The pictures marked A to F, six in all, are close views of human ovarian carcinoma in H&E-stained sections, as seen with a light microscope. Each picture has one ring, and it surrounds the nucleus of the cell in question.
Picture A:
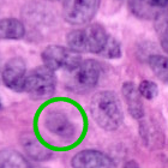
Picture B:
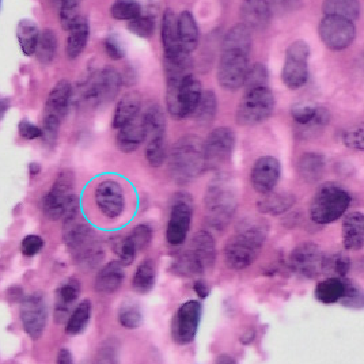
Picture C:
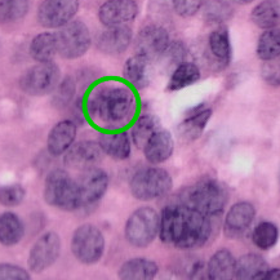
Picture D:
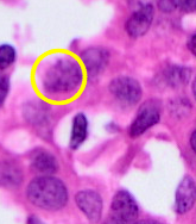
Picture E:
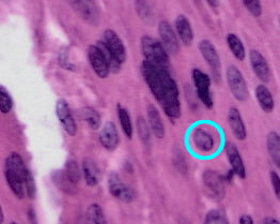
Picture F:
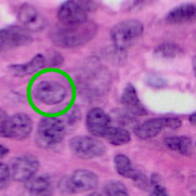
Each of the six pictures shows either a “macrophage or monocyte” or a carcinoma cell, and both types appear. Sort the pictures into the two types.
A: carcinoma cell
B: macrophage or monocyte
C: carcinoma cell
D: carcinoma cell
E: macrophage or monocyte
F: carcinoma cell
